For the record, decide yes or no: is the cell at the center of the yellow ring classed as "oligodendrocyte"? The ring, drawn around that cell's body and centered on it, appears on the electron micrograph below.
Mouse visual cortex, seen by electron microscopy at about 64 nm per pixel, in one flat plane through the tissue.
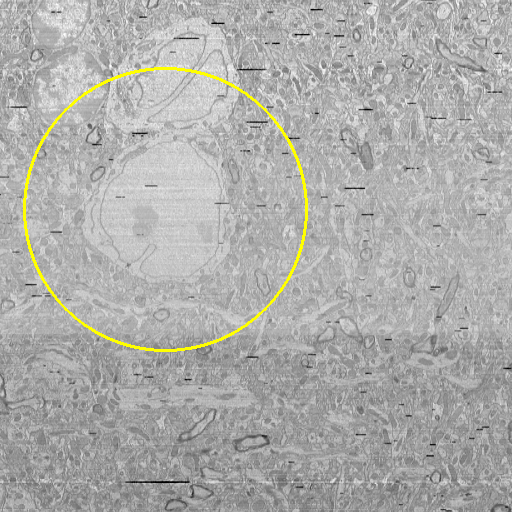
no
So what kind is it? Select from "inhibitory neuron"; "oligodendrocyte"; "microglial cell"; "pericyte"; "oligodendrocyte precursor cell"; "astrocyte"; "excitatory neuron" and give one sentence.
What the ring is centred on is an excitatory neuron.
